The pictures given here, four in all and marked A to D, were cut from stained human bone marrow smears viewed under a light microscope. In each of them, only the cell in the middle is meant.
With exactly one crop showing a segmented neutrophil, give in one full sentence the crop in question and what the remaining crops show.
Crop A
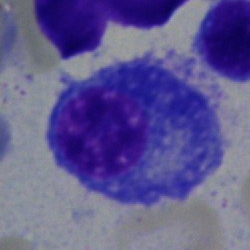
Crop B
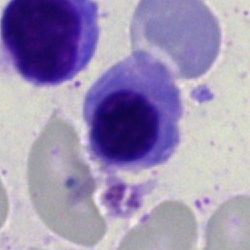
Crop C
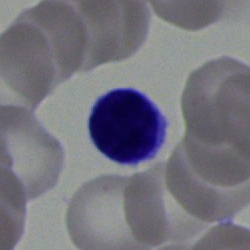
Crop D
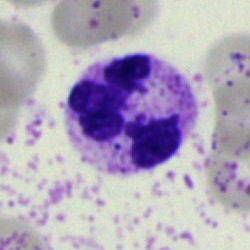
For crop D the cell is a segmented neutrophil, while crop A is a plasma cell, crop B is an erythroblast and crop C is a lymphocyte.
